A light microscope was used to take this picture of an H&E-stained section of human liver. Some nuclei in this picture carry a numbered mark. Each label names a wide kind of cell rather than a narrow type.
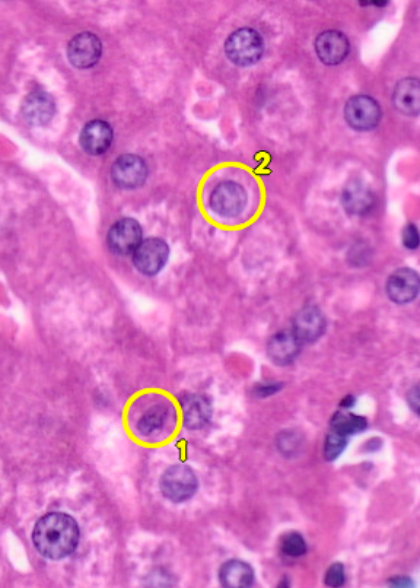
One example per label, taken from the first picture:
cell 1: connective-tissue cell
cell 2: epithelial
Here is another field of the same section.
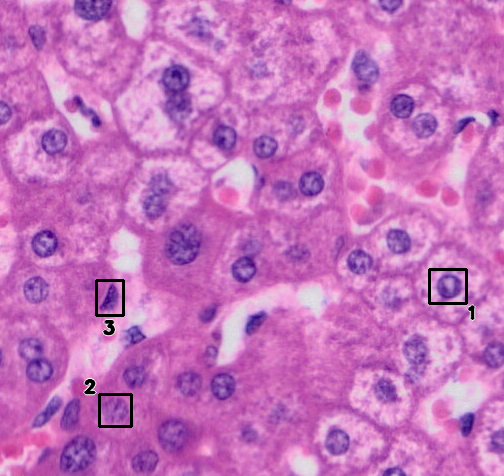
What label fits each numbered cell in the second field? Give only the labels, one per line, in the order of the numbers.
epithelial
epithelial
connective-tissue cell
